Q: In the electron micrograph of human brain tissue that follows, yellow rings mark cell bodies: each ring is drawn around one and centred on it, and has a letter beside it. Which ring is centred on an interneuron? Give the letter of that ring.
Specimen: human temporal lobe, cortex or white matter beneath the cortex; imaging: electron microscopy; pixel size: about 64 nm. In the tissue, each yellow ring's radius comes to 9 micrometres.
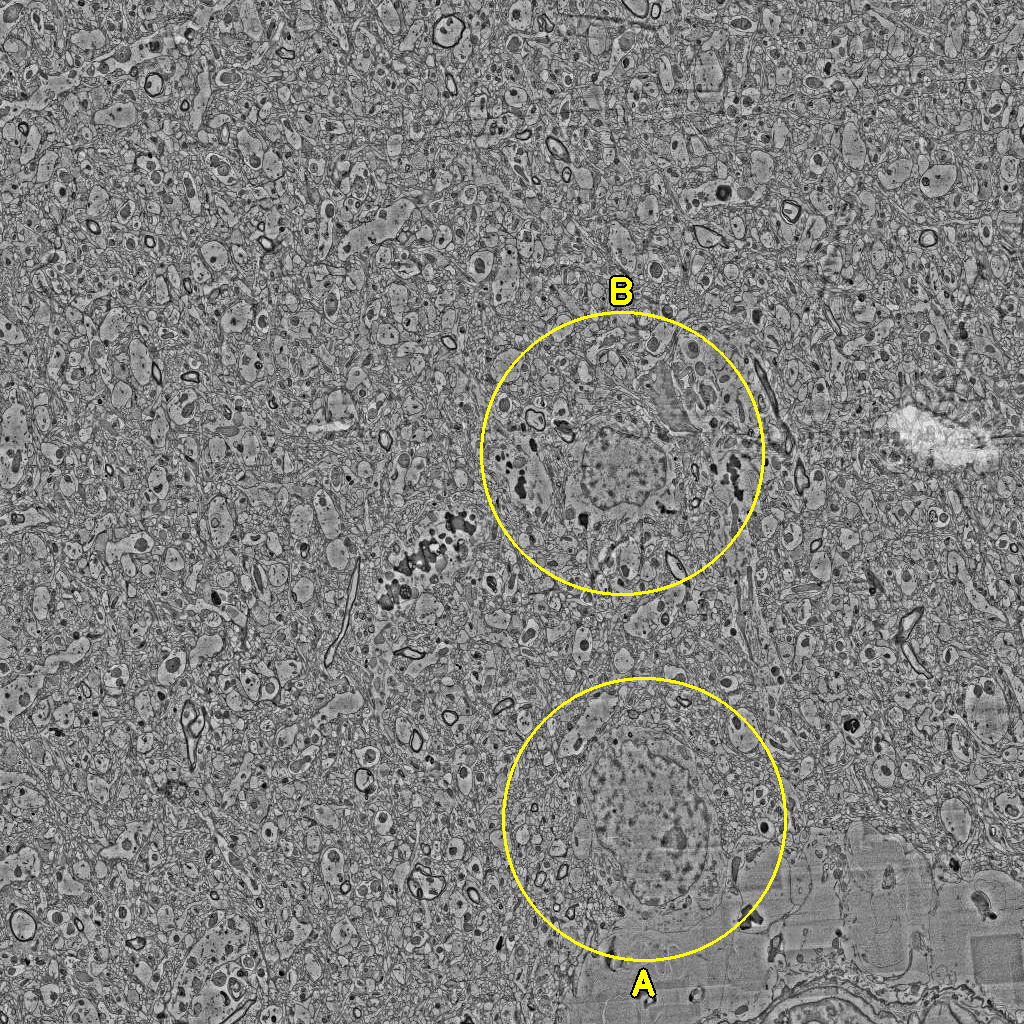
A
